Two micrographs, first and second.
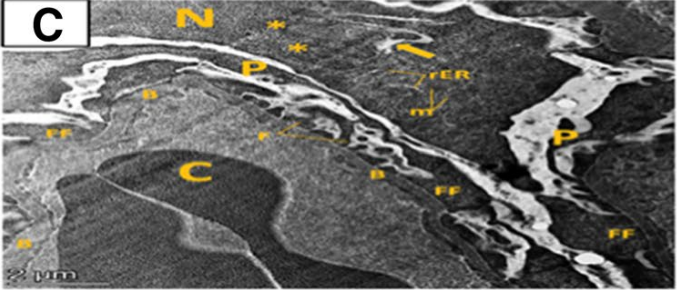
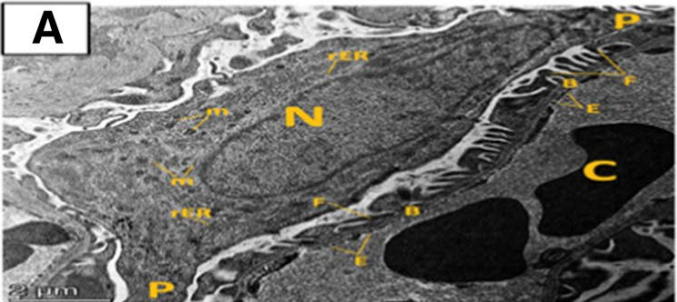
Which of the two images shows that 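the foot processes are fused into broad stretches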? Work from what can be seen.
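First image: parts of the cytoplasm along the basement membrane are broad and continuous. Second image: many small, separate, evenly spaced foot processes line the basement membrane. The answer: the first image.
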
